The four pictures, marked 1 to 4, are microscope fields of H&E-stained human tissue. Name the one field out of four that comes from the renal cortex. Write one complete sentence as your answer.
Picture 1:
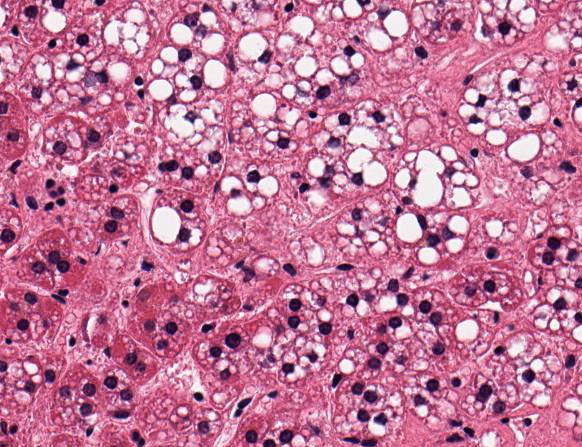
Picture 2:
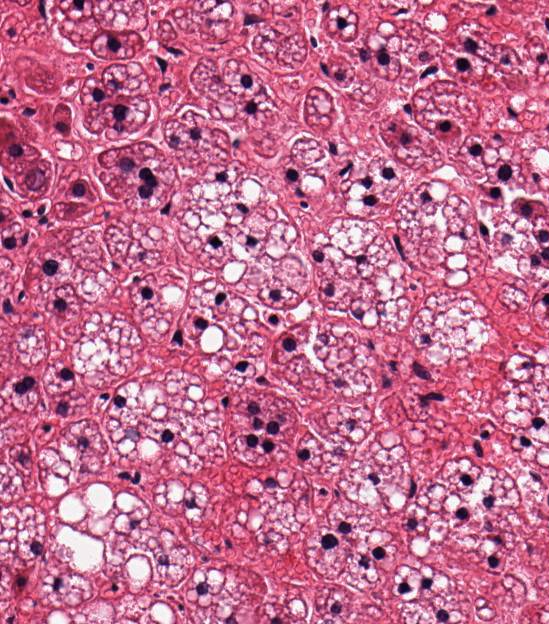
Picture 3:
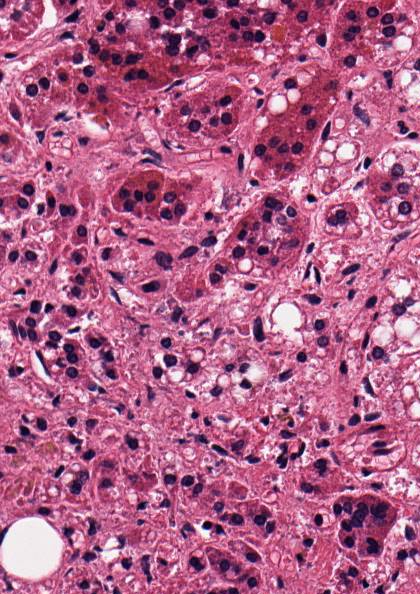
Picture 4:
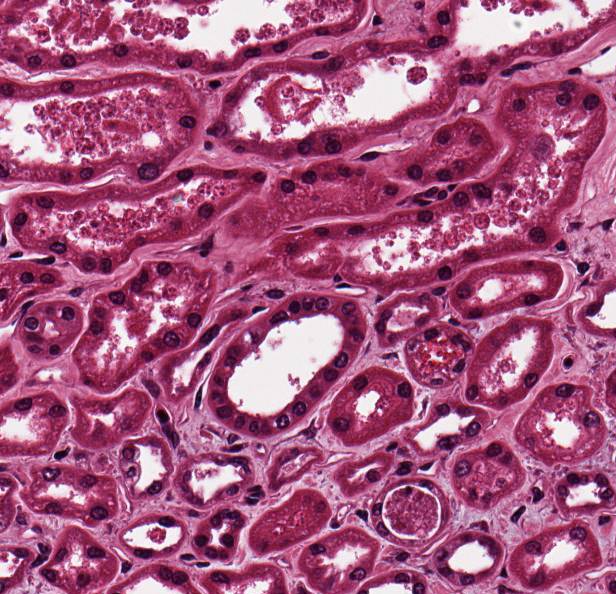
Picture 4 comes from the renal cortex.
